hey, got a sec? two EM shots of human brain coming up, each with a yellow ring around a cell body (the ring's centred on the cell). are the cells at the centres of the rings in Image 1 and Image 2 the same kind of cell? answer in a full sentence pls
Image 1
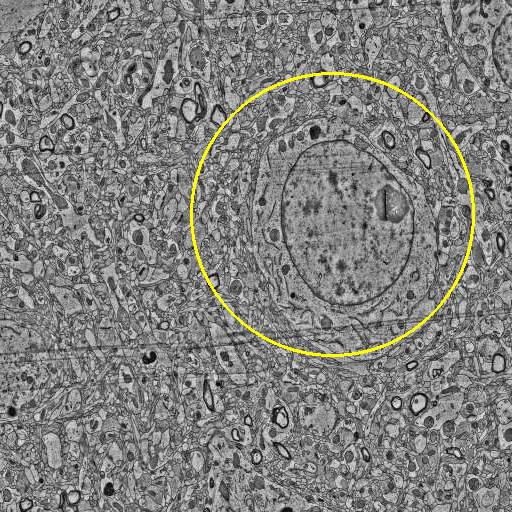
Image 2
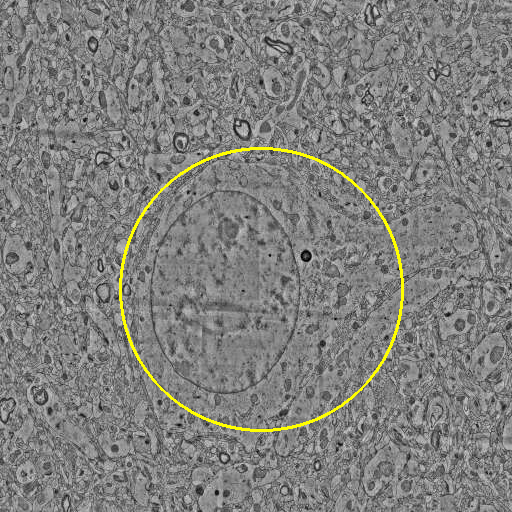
Yes, both are the same kind of cell.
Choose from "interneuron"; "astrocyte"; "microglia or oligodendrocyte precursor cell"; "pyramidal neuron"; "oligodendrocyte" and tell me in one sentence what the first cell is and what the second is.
Each of the two rings surrounds a pyramidal neuron.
